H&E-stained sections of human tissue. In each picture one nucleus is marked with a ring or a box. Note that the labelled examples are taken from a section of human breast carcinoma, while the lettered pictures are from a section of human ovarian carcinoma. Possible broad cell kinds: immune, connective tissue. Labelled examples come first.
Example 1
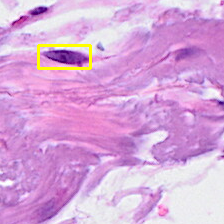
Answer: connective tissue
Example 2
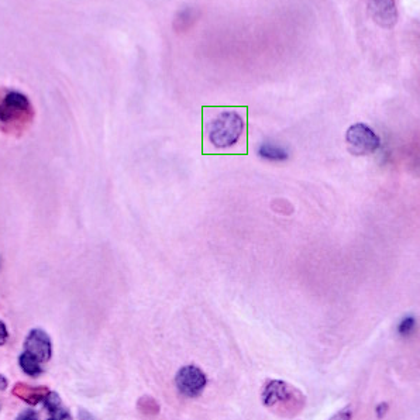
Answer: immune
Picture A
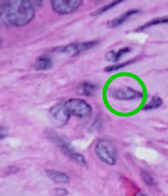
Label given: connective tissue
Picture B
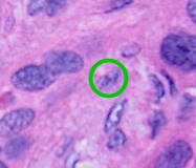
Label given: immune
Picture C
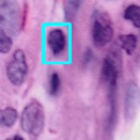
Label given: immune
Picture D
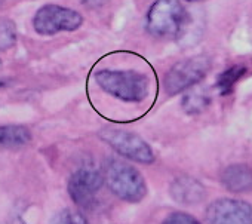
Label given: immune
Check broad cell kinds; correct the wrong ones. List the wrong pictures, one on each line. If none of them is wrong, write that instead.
B should be connective tissue, not immune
